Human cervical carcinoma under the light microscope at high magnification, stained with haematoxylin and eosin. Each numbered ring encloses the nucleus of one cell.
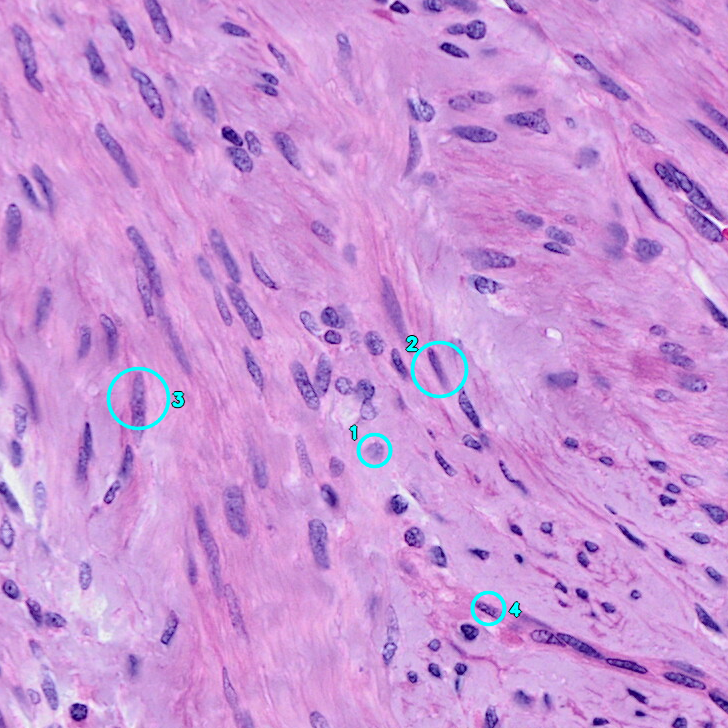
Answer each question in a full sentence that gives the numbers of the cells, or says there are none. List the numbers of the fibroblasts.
Cell 1 is a fibroblast, while all remaining marked cells are of other types.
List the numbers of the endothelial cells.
With the exception of cell 4, no marked cell is an endothelial cell.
